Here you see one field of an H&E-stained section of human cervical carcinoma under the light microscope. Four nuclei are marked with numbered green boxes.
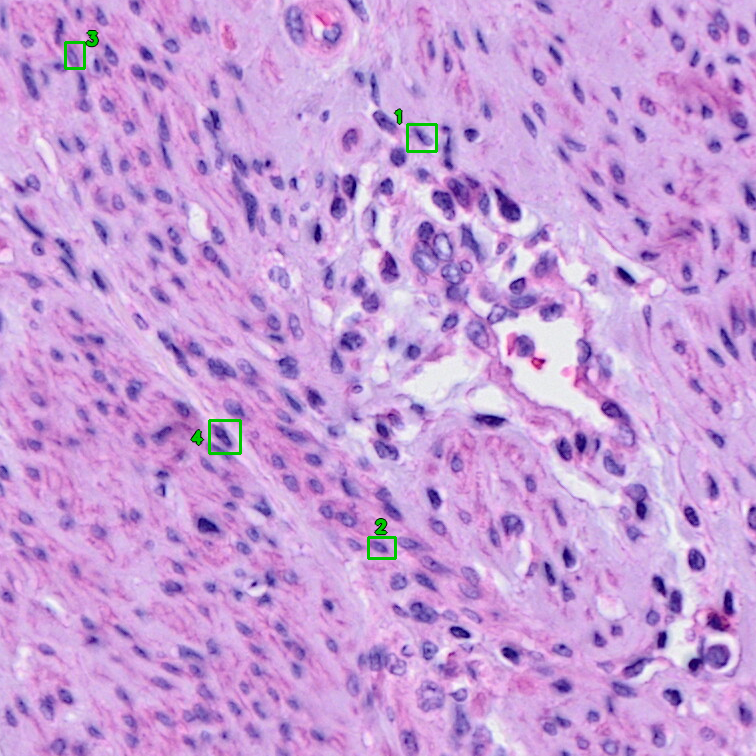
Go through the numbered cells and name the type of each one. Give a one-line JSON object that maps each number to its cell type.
{"1": "fibroblast", "2": "smooth muscle cell", "3": "smooth muscle cell", "4": "lymphocyte"}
